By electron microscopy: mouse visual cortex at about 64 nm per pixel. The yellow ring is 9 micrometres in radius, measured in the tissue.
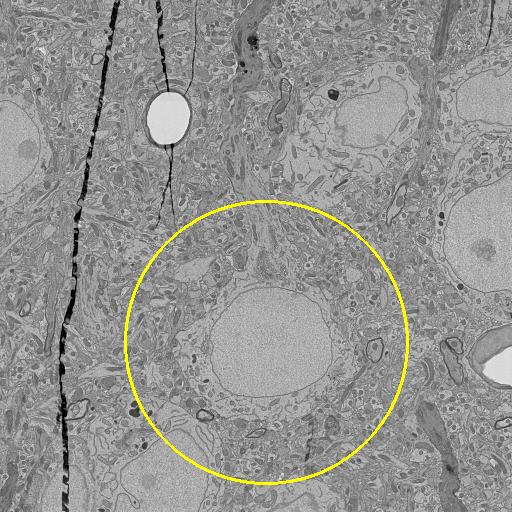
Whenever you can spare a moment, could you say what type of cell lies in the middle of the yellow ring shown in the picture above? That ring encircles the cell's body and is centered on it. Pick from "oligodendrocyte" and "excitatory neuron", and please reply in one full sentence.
The cell whose body sits at the middle of the yellow ring is an excitatory neuron.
